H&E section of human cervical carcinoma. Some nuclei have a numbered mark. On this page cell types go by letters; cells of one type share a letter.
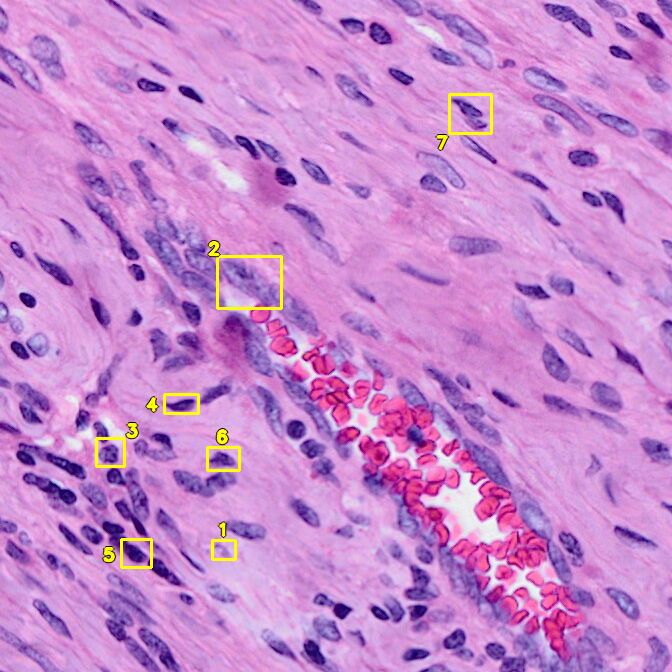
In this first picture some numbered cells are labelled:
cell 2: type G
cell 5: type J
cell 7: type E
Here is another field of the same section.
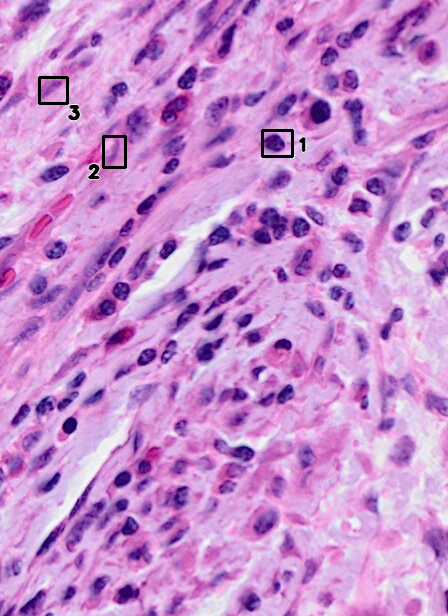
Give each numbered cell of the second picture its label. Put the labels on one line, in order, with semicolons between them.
type J; type G; type E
